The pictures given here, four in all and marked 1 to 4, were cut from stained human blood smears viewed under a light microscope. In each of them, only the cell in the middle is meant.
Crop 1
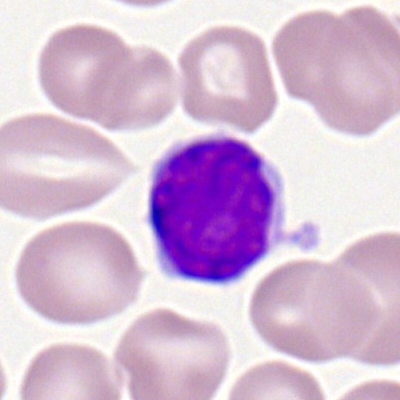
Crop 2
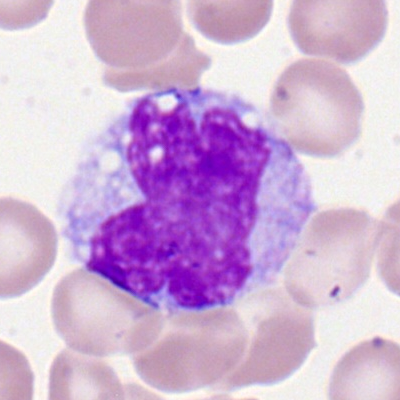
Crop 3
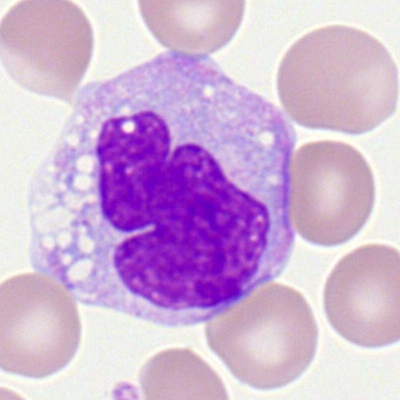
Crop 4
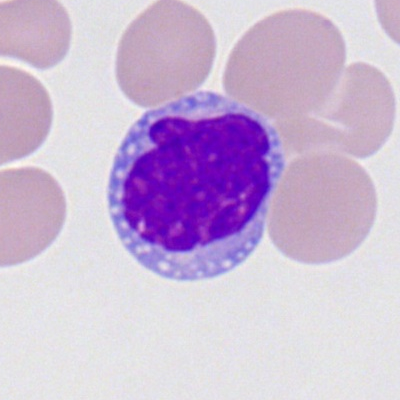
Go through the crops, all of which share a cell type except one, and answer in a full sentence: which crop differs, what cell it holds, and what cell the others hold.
The cells centred in the other crops are all monocytes, but crop 1 is a lymphocyte.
